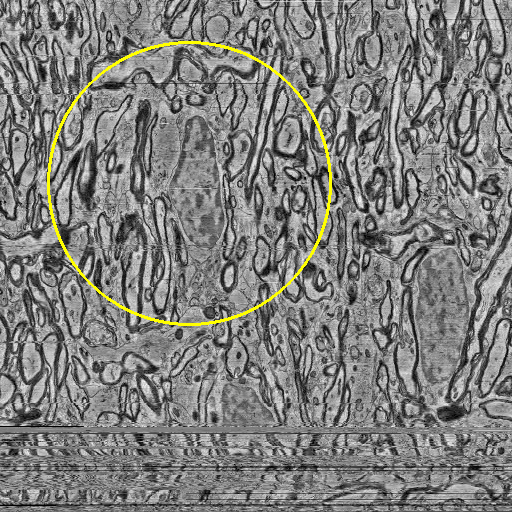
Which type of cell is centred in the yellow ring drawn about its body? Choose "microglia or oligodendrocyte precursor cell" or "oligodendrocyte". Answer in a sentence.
The yellow ring surrounds the cell body of a microglial cell or oligodendrocyte precursor cell.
